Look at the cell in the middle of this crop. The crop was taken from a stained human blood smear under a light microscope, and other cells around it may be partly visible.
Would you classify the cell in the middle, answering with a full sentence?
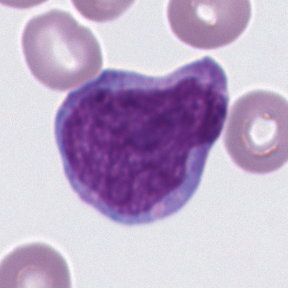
By type, the central cell of the crop is an atypical promyelocyte.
